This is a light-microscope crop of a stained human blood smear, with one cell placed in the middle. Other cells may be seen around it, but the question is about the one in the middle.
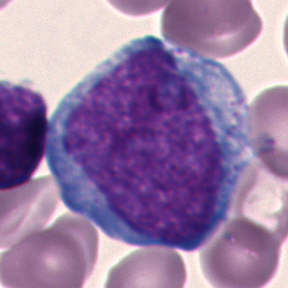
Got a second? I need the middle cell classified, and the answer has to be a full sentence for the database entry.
Within this crop, a promyelocyte occupies the central position.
